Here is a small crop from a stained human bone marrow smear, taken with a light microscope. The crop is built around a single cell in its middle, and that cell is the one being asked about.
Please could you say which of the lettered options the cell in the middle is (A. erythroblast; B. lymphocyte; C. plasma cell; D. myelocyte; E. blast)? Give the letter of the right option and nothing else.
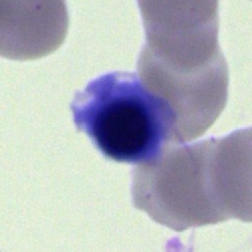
A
